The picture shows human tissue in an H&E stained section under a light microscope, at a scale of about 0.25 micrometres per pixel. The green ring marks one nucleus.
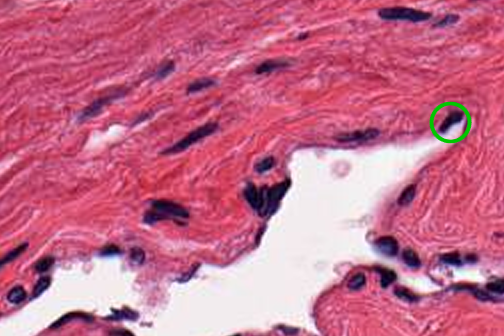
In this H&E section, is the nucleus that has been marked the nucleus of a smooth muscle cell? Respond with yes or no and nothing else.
no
